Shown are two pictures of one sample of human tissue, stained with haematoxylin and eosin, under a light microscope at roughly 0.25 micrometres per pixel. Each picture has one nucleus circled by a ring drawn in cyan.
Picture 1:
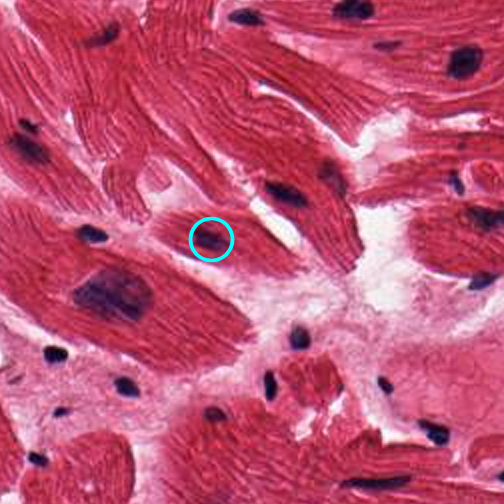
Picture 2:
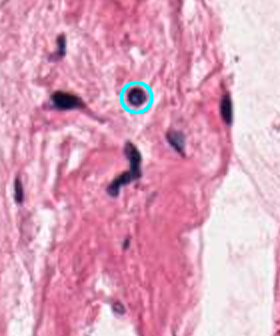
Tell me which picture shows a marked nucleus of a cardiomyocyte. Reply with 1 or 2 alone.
1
